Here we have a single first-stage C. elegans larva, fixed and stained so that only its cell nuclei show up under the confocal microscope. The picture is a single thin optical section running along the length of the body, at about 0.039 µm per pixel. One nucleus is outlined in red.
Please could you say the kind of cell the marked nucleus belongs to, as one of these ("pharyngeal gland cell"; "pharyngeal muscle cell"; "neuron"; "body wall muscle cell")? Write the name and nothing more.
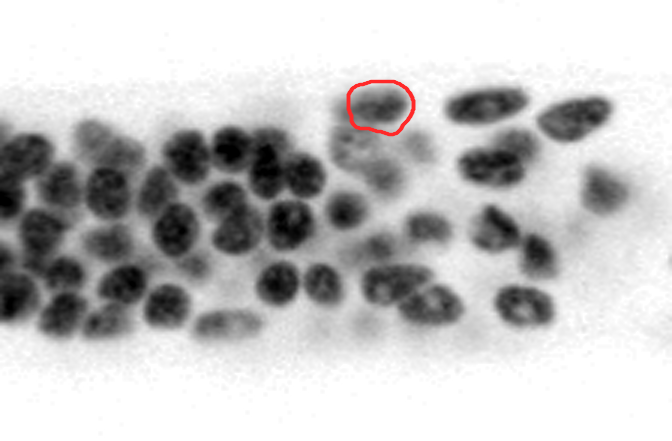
body wall muscle cell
